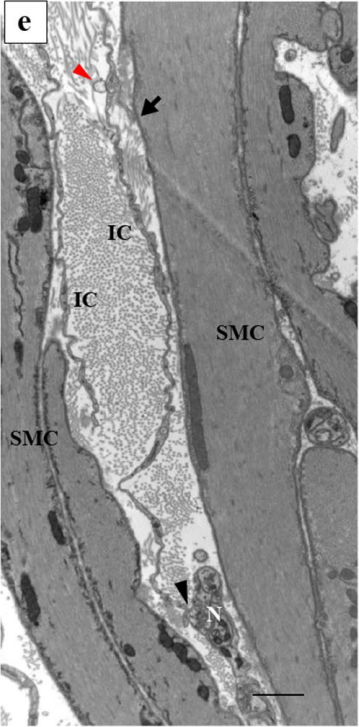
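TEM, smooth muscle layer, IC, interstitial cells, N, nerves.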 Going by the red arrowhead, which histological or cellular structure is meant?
Exosome-like structure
